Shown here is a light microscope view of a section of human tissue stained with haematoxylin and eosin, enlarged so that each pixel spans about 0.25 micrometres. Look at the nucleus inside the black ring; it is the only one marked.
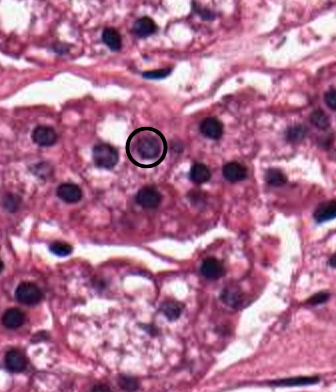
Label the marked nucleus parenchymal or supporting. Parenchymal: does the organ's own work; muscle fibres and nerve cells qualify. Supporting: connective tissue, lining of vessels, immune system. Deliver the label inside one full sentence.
The marked nucleus is located in a parenchymal cell, namely an adrenal cortical cell.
